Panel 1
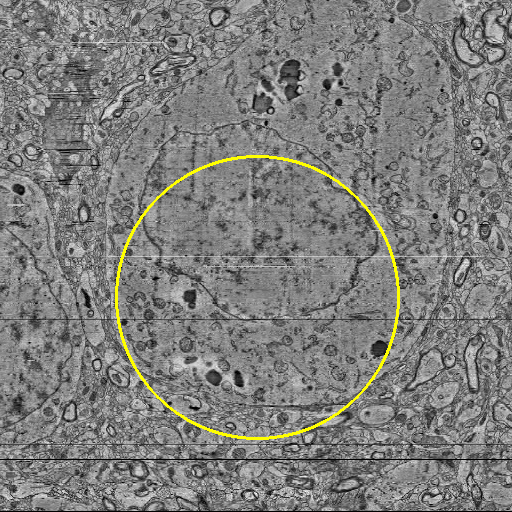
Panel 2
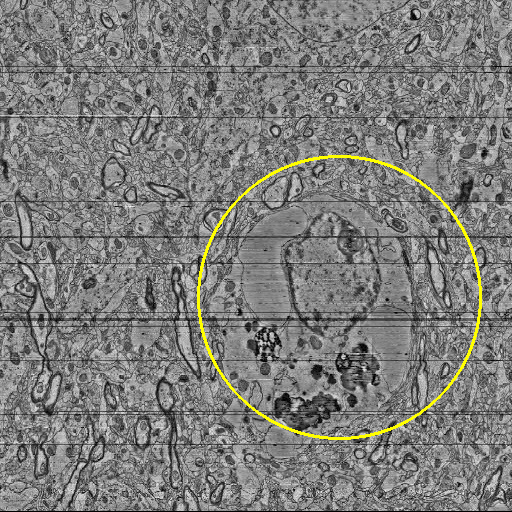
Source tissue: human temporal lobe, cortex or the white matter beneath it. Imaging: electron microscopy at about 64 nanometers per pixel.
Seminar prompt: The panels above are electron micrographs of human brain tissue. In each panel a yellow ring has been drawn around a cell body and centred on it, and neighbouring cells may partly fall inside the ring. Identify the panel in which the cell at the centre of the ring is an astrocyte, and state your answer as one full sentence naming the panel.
Panel 2 has it at the centre of its ring.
